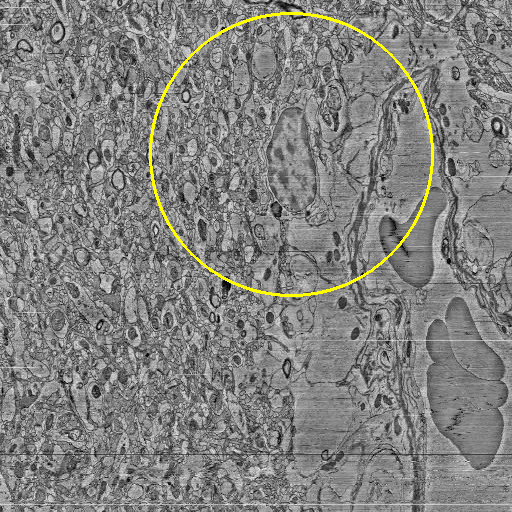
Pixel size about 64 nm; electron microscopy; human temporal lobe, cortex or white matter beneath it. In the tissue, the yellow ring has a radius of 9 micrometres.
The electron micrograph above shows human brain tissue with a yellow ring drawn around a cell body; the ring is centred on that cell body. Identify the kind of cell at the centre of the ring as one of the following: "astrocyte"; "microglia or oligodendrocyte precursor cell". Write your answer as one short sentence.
The cell at the centre of the ring is a microglial cell or oligodendrocyte precursor cell.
